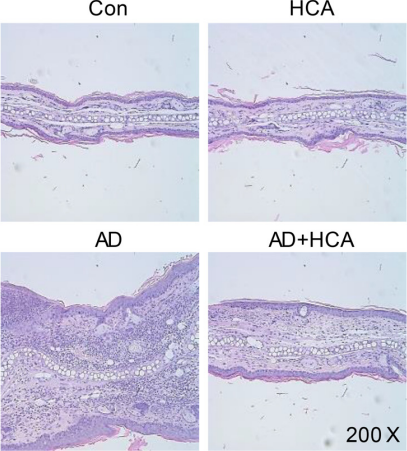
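Cross-sections of ear skin stained pink and purple show a thin epidermis on each surface and a central plate of cartilage made of rows of pale, vacuolated chondrocytes. In one of the four images the skin is markedly thickened, with a thick epidermis and a dermis crowded with dark purple nuclei of infiltrating cells, while the other sections are thin with sparse dermal cells.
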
